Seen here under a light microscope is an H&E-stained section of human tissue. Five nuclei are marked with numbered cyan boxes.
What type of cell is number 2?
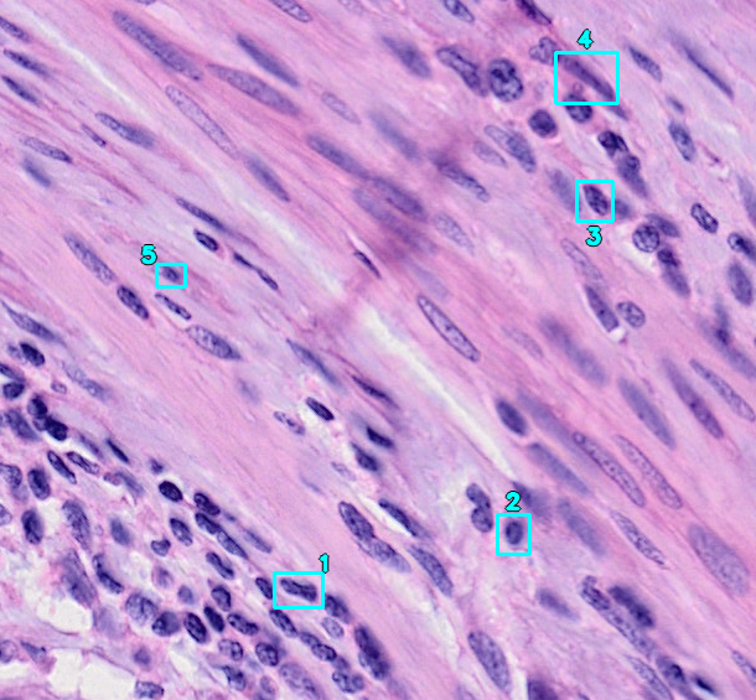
lymphocyte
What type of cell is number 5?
smooth muscle cell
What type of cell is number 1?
lymphocyte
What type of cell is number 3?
lymphocyte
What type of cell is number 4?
endothelial cell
